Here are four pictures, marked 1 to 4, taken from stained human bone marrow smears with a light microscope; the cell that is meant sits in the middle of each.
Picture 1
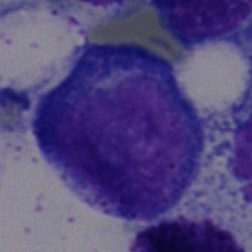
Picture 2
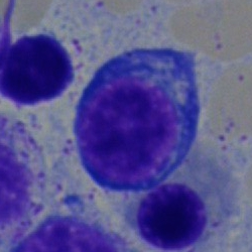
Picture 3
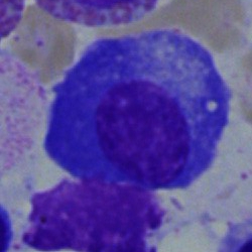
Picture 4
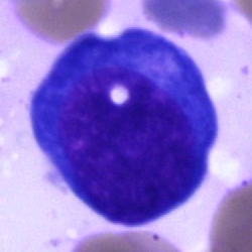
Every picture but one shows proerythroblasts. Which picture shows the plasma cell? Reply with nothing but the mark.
3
